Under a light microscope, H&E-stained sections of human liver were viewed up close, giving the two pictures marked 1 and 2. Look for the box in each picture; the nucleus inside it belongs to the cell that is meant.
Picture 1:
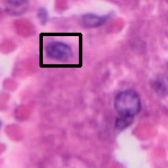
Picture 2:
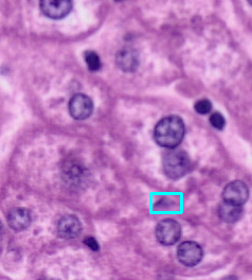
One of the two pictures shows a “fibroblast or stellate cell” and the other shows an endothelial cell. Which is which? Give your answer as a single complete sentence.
It is picture 1 that shows a “fibroblast or stellate cell”, and picture 2 that shows an endothelial cell.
